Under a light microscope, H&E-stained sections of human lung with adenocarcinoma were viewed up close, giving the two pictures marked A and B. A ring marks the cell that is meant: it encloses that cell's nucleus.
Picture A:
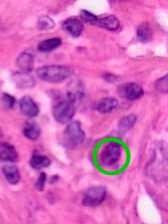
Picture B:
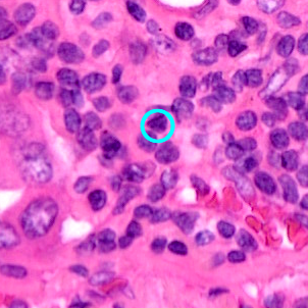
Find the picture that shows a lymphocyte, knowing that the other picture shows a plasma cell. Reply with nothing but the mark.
B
